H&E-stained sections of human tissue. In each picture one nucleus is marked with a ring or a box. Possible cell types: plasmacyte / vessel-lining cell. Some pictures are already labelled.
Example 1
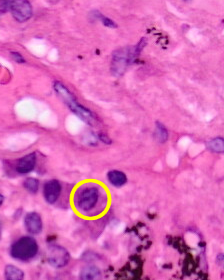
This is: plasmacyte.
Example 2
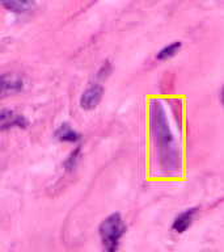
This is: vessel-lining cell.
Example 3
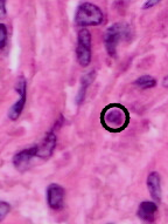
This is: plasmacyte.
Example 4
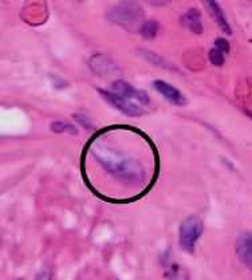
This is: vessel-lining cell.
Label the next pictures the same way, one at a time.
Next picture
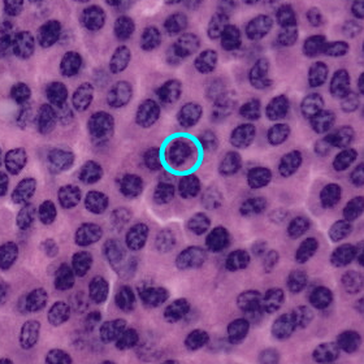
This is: plasmacyte.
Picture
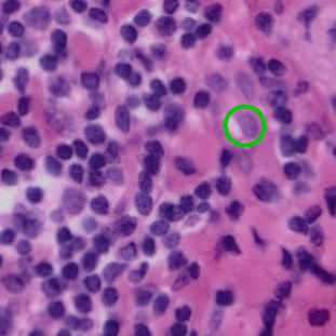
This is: vessel-lining cell.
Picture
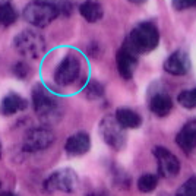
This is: plasmacyte.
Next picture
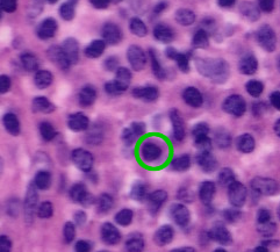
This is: plasmacyte.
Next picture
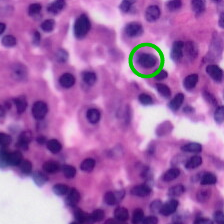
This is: plasmacyte.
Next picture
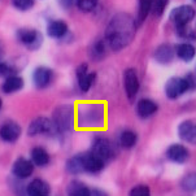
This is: vessel-lining cell.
